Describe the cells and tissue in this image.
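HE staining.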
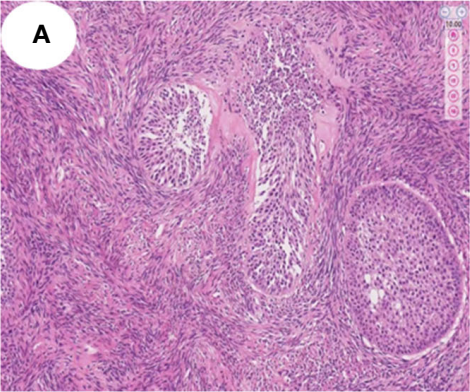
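This shows nests of transitional-type epithelial cells set in a dense fibrous stroma. The nests are rounded or irregular and sharply bordered, made of cells with oval nuclei and pale pink cytoplasm, some with small central lumens. Around them the stroma is packed with spindle cells running in swirling bundles.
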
